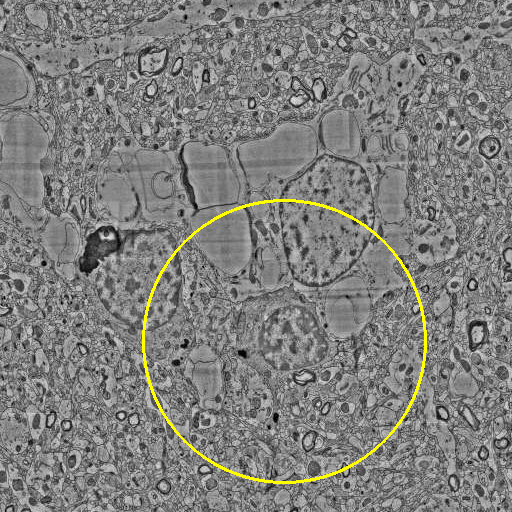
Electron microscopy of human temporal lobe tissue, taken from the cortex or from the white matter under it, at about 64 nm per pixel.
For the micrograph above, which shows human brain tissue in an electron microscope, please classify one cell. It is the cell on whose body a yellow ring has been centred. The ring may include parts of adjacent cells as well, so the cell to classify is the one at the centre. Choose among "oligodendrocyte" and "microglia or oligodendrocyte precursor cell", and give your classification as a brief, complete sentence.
I classify this cell as an oligodendrocyte.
